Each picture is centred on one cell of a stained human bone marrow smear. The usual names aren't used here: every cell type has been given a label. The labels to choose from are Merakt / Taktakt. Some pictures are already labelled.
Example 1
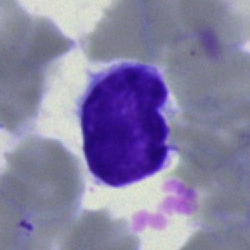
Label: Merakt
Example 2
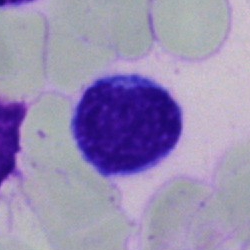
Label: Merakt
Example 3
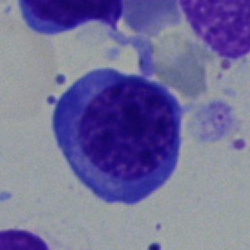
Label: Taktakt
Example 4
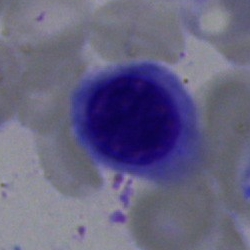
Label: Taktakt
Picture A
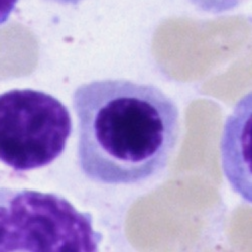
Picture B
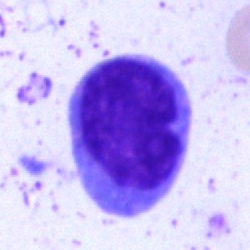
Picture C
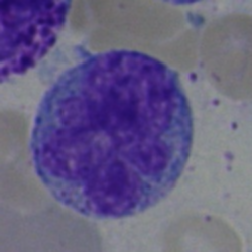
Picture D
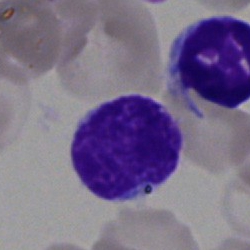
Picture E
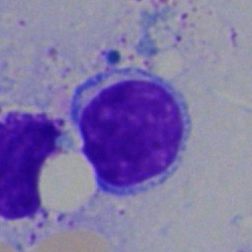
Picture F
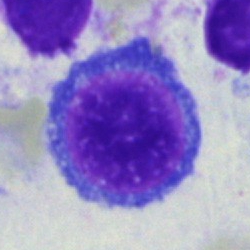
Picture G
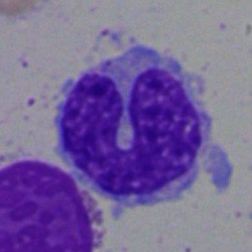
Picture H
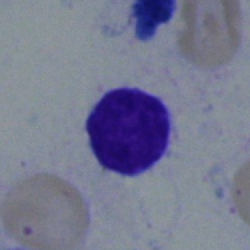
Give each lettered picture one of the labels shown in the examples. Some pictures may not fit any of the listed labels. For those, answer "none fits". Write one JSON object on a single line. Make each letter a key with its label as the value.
{"A": "Taktakt", "B": "none fits", "C": "none fits", "D": "Merakt", "E": "Merakt", "F": "Taktakt", "G": "none fits", "H": "Merakt"}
